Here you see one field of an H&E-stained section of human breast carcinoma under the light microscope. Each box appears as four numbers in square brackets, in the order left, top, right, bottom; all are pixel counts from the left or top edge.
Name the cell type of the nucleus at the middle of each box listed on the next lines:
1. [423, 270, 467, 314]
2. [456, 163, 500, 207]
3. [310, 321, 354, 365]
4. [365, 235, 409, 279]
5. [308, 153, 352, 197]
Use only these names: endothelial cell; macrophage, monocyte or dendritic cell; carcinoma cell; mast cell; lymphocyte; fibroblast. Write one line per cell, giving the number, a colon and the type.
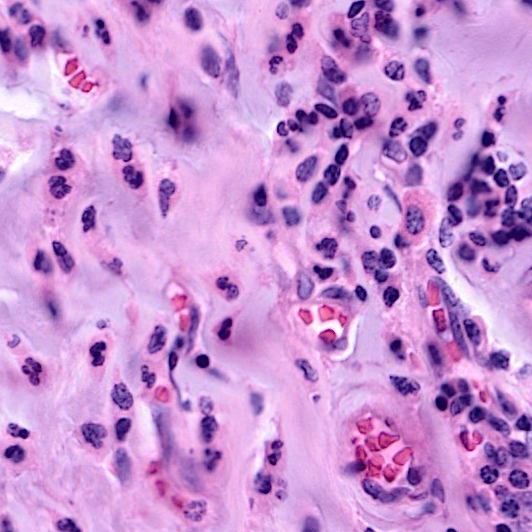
1: endothelial cell
2: lymphocyte
3: endothelial cell
4: lymphocyte
5: lymphocyte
